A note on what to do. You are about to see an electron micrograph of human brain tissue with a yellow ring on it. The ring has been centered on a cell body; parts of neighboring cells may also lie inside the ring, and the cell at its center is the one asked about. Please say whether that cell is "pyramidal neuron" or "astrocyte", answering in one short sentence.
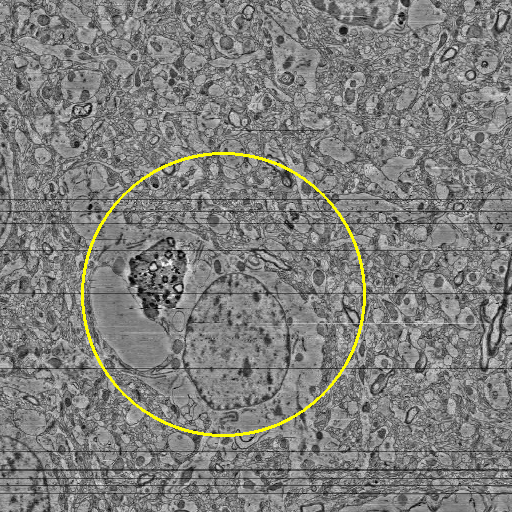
The yellow ring sits on an astrocyte.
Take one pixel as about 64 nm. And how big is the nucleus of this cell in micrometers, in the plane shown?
The nucleus of the ringed cell is approximately 9 by 7 micrometres in this plane.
